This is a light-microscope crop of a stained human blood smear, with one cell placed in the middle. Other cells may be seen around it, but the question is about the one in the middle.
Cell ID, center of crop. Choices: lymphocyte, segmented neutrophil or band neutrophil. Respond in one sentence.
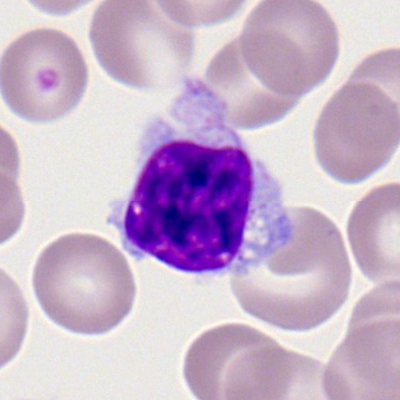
Classification of the middle cell gives a lymphocyte.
